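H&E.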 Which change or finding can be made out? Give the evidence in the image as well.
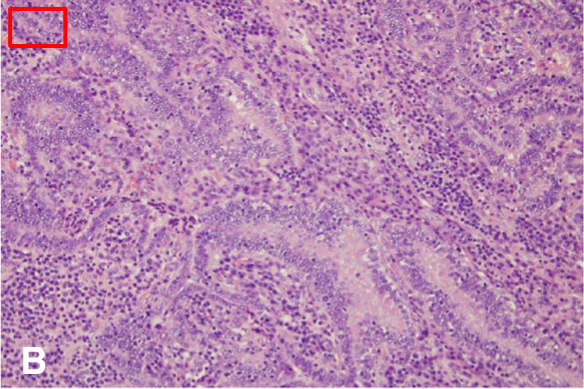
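Epithelial stratification. Epithelium lining the folds is several nuclei thick. Nuclei are crowded and overlapping along the epithelial bands.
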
